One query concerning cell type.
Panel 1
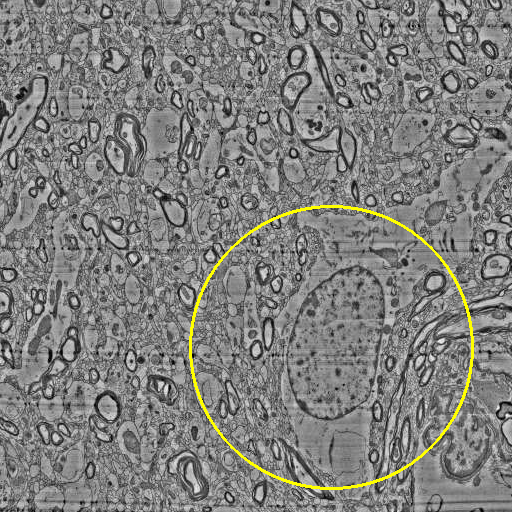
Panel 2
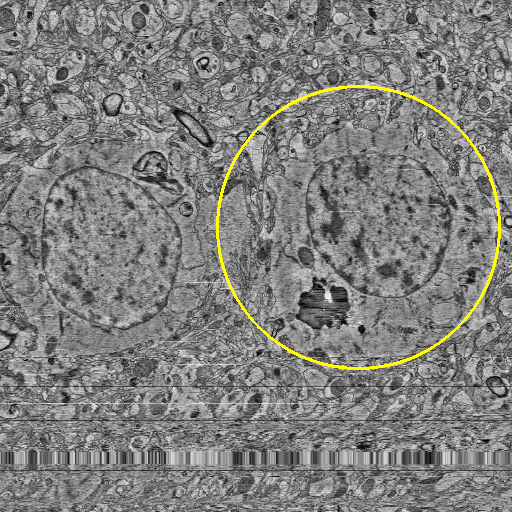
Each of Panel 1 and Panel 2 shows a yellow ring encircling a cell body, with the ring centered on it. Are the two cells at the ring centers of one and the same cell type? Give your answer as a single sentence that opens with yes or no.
Yes, the cell centered in Panel 1 and the one in Panel 2 share a type.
